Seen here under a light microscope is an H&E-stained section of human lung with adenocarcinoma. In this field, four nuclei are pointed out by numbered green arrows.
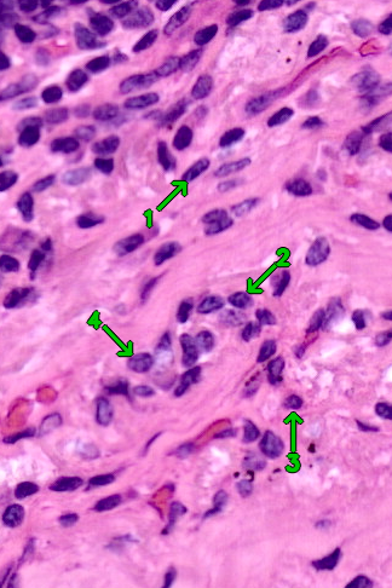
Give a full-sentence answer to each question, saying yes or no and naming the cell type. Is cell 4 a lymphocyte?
Yes, in the section, number 4 is a lymphocyte.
